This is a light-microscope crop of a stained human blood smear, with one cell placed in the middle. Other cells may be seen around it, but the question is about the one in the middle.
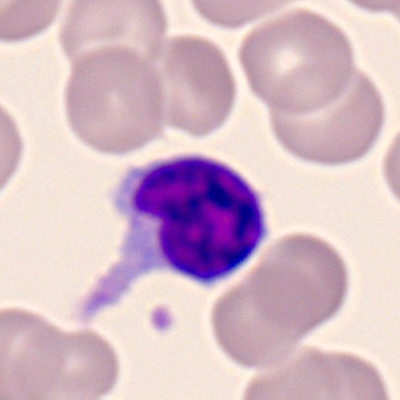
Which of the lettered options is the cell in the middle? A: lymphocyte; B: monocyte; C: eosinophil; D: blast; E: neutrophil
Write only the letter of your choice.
A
